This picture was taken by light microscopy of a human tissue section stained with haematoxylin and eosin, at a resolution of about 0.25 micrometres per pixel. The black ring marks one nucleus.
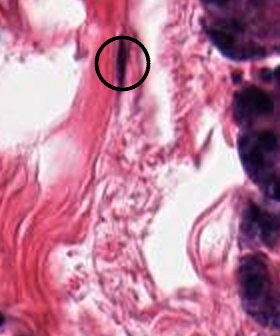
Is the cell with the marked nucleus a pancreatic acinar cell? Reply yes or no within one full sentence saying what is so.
No, the marked nucleus does not belong to a pancreatic acinar cell; it belongs to a supporting cell.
